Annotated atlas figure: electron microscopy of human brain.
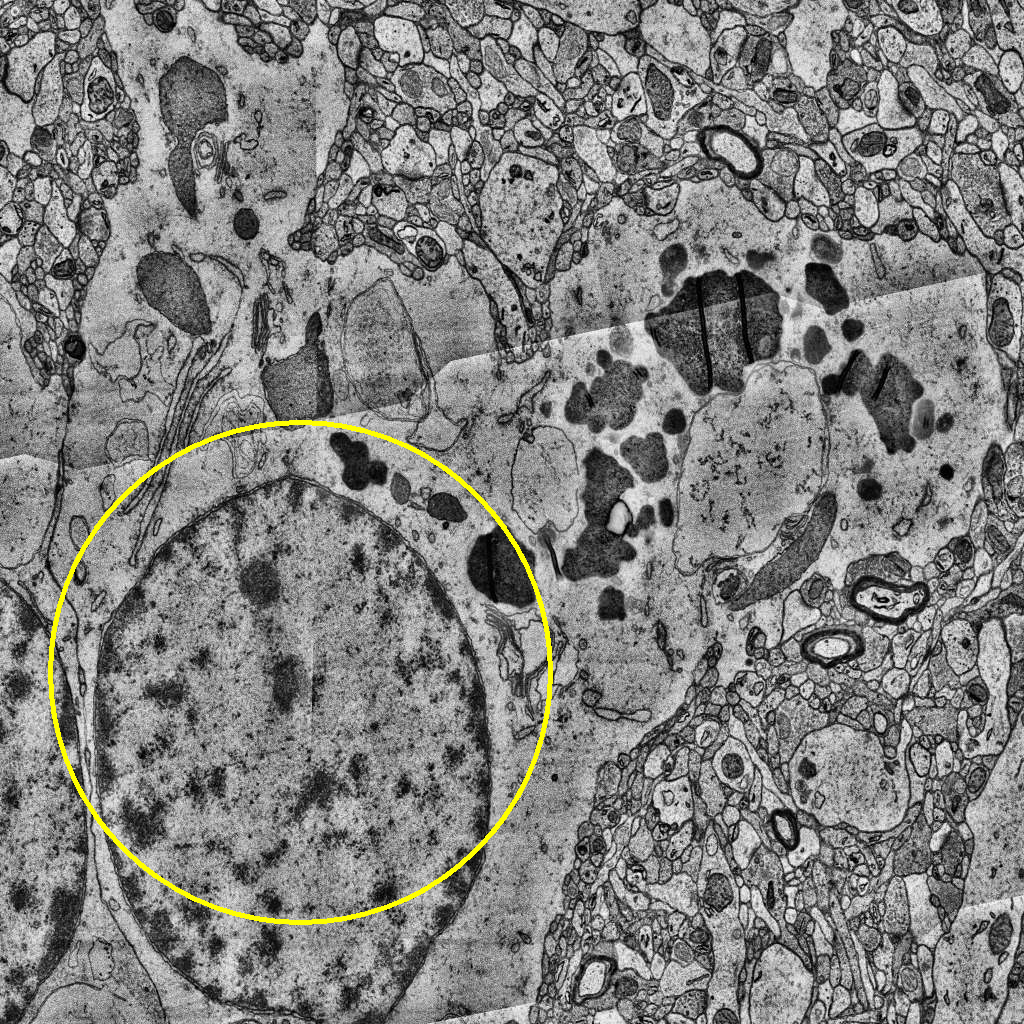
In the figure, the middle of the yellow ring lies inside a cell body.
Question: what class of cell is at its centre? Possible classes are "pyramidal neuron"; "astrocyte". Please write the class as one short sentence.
The yellow ring's centre lies in an astrocyte.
